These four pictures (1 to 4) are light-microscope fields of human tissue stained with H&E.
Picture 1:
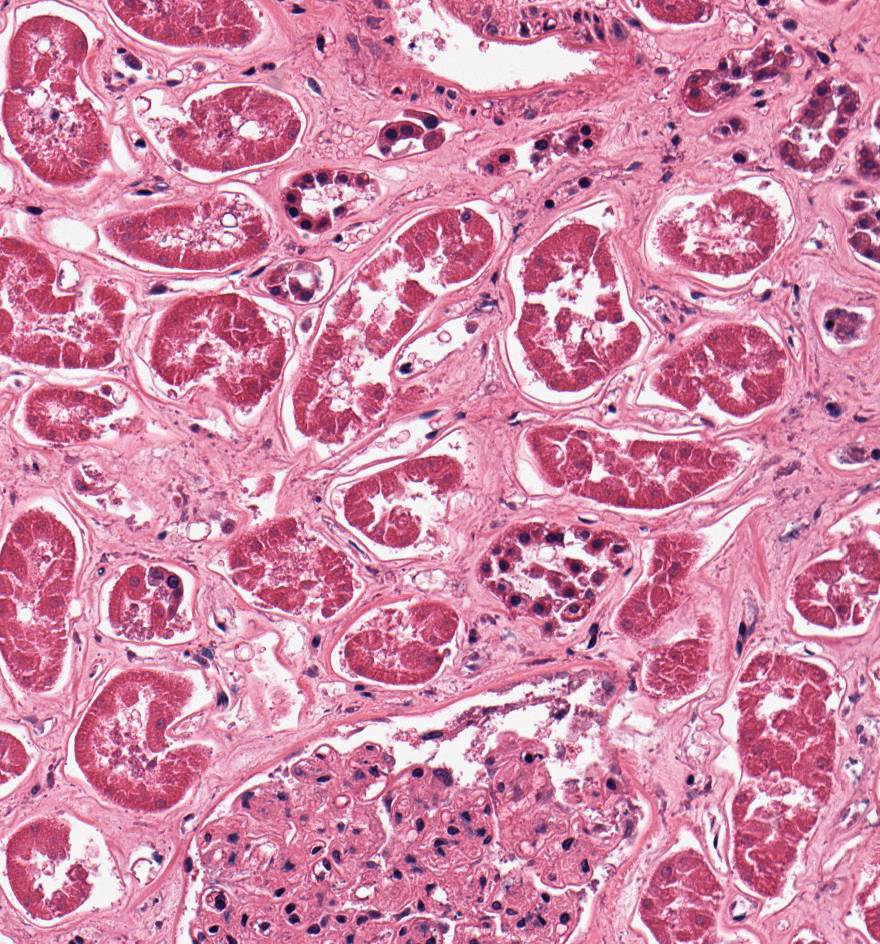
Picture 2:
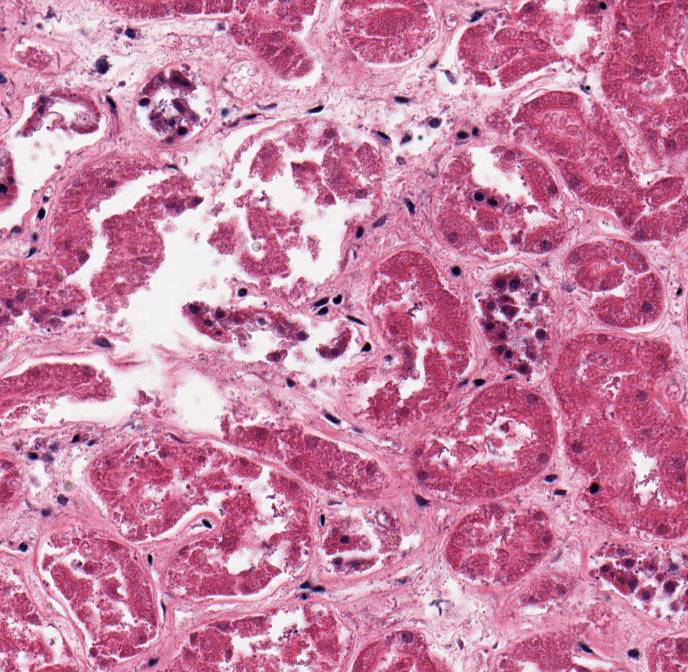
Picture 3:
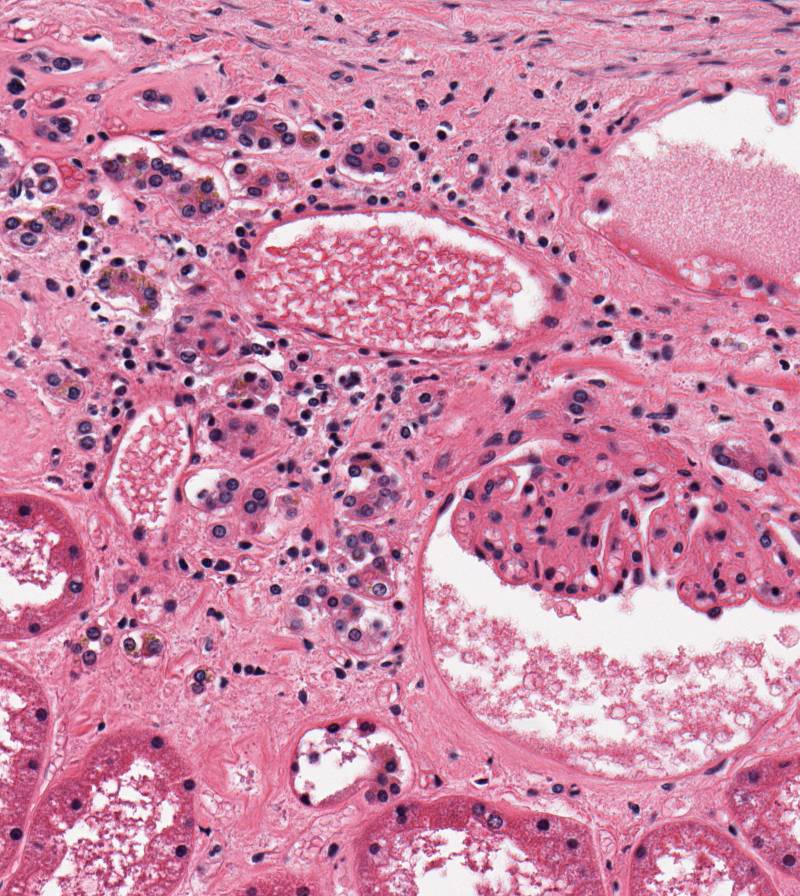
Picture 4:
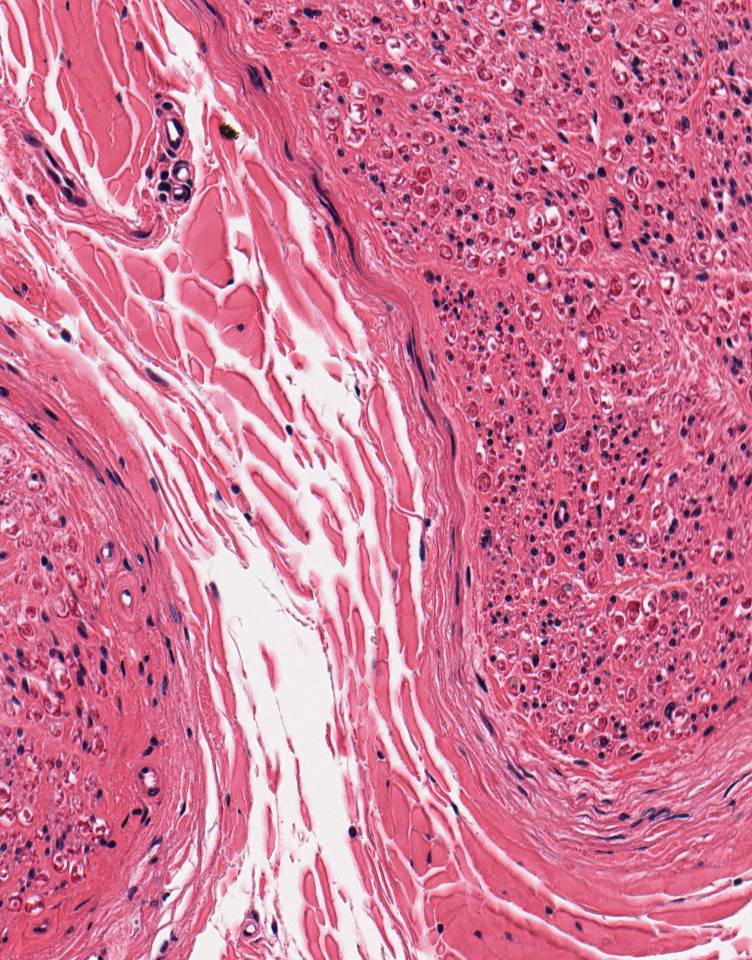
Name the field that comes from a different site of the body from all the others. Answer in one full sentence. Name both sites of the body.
All pictures except 4 come from the renal cortex; picture 4 comes from the tibial nerve.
